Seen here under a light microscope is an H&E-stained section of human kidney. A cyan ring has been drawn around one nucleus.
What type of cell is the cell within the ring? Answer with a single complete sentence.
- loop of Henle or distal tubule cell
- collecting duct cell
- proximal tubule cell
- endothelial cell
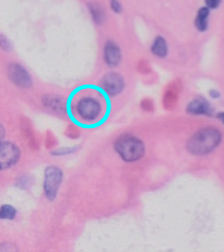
On this particular slide, the cell within the ring is a collecting duct cell.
